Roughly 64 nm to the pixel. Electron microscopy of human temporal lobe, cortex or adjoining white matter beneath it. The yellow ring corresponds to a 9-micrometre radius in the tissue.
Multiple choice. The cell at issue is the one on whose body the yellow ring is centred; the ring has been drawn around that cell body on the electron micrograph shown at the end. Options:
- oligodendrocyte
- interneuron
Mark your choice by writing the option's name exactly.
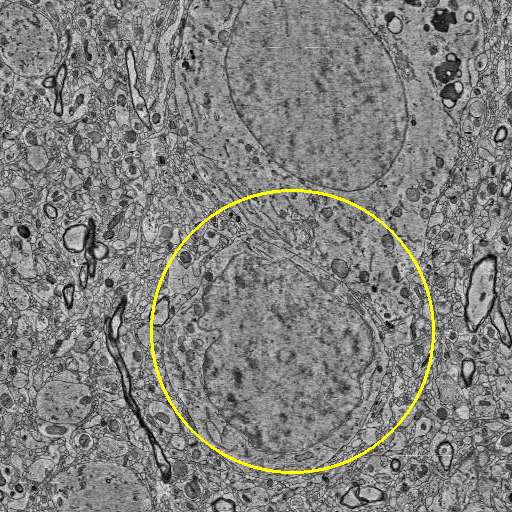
interneuron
